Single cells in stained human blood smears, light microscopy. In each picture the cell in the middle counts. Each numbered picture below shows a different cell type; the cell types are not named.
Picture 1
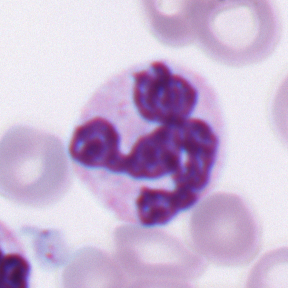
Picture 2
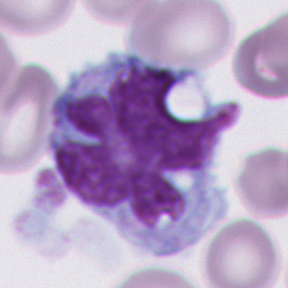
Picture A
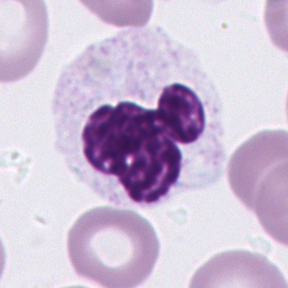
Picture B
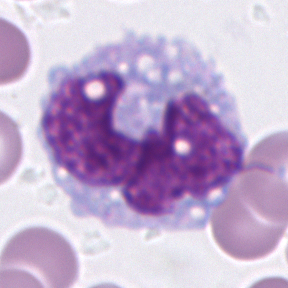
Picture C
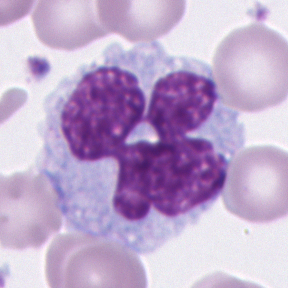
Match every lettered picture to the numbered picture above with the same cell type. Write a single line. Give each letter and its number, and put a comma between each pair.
A 1, B 2, C 2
